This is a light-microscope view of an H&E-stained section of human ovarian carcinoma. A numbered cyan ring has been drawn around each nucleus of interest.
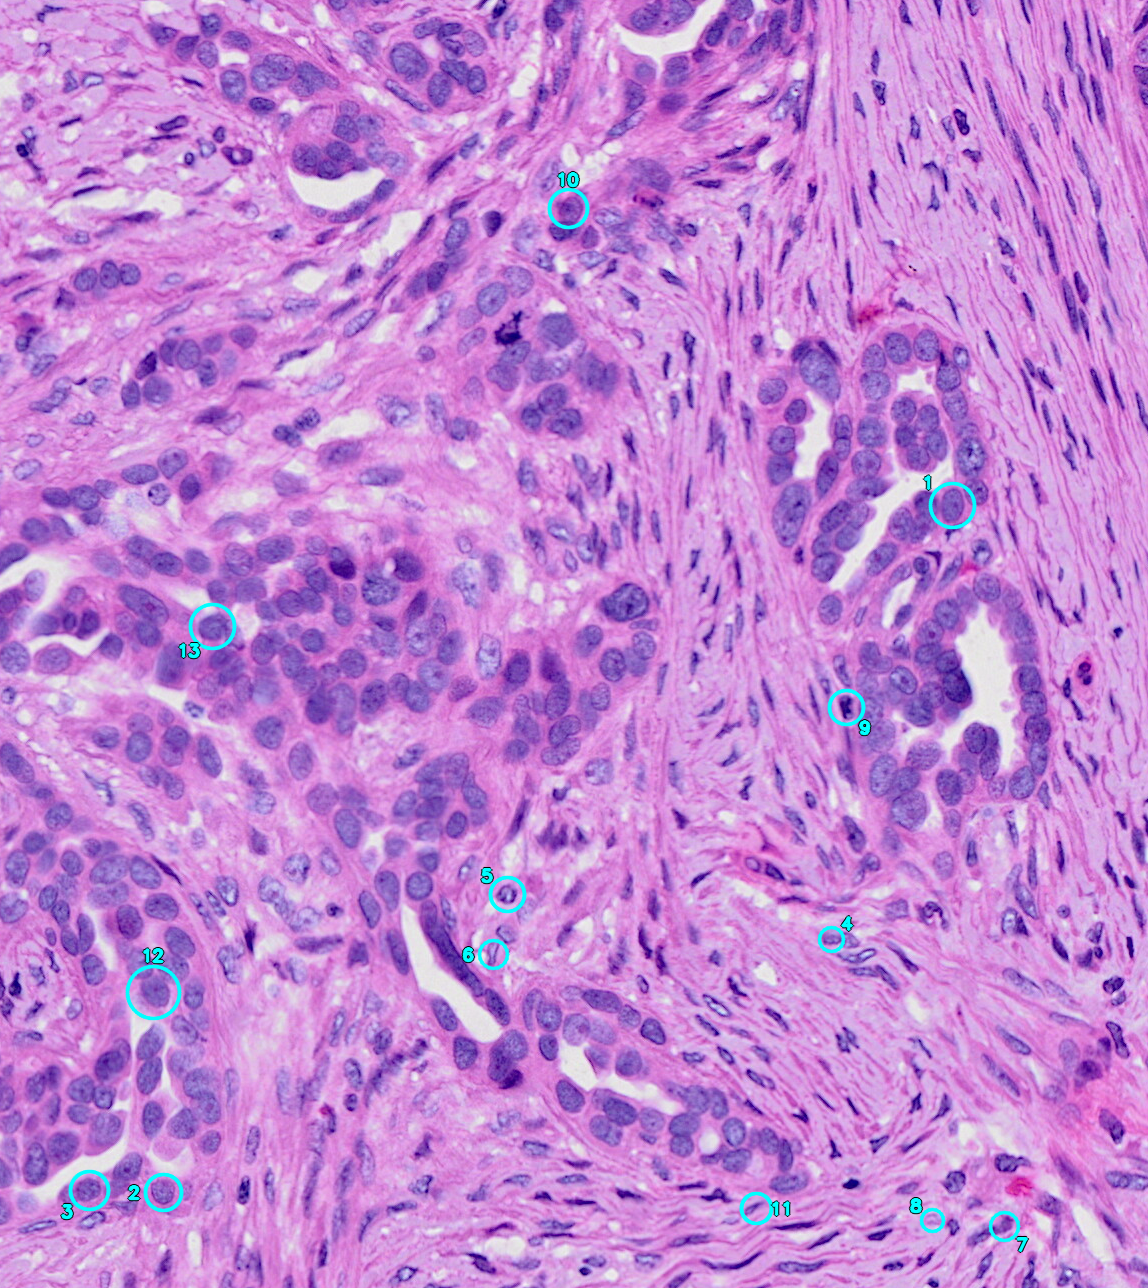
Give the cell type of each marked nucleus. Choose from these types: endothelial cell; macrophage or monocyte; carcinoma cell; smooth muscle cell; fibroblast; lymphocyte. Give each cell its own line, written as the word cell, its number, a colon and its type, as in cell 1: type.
cell 1: carcinoma cell
cell 2: carcinoma cell
cell 3: carcinoma cell
cell 4: fibroblast
cell 5: macrophage or monocyte
cell 6: fibroblast
cell 7: fibroblast
cell 8: fibroblast
cell 9: lymphocyte
cell 10: carcinoma cell
cell 11: fibroblast
cell 12: carcinoma cell
cell 13: carcinoma cell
